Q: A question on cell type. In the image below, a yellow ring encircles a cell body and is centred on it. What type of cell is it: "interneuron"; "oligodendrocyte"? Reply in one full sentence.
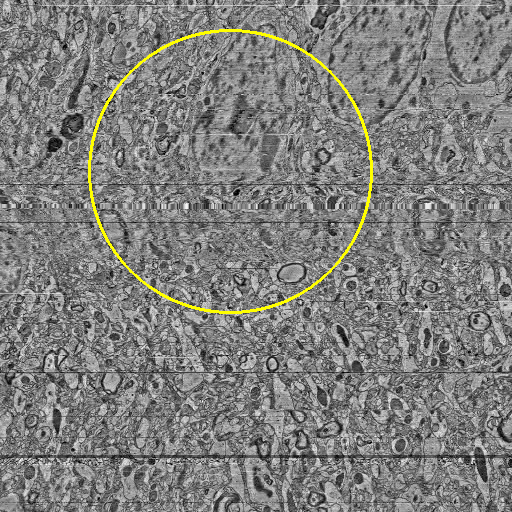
It is an interneuron whose cell body sits at the centre of the yellow ring in the image.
